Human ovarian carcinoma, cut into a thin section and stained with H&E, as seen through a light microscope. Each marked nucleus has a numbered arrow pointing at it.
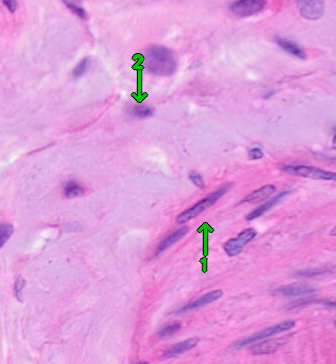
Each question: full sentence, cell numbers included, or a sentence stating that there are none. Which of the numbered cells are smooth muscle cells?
Of the cells marked with numbers, cell 1 is the only one that is a smooth muscle cell.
